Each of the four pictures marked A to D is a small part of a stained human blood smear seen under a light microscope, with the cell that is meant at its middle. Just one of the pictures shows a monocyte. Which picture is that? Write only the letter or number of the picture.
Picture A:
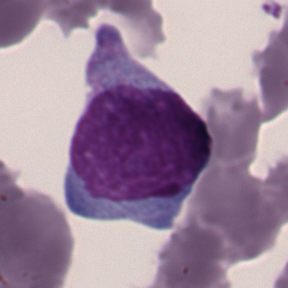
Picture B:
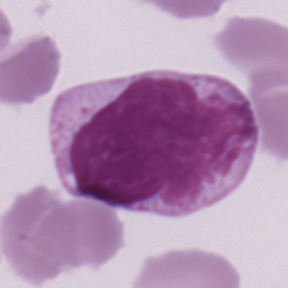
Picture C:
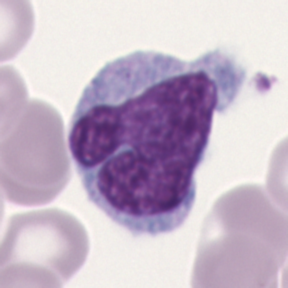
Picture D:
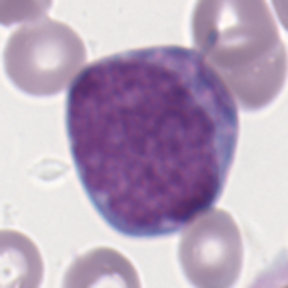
C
